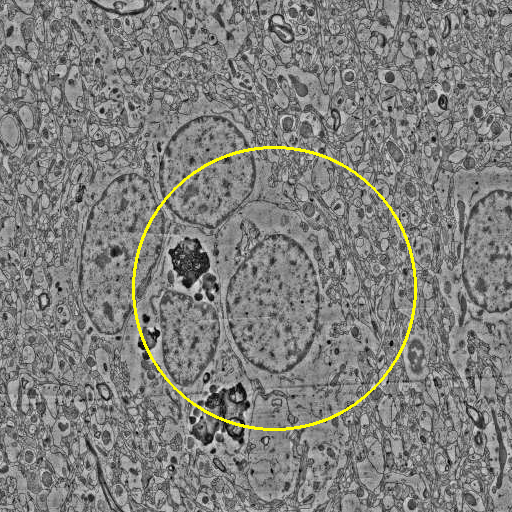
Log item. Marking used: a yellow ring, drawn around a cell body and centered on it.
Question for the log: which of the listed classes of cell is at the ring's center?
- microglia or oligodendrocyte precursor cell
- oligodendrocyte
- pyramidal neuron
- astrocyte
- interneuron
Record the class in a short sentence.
At the center of the ring lies an astrocyte.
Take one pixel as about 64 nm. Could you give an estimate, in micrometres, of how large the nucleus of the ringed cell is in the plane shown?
Roughly 9 by 6 micrometres in this plane, for the nucleus of the ringed cell.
